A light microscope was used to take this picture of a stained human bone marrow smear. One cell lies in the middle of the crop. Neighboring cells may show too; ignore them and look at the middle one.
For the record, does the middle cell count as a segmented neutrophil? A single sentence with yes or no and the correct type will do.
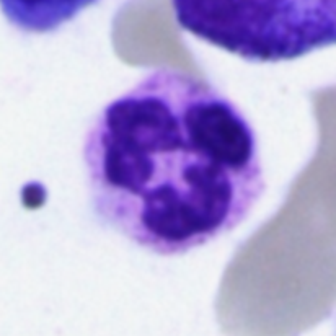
Yes, in the centre of this field sits a segmented neutrophil.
